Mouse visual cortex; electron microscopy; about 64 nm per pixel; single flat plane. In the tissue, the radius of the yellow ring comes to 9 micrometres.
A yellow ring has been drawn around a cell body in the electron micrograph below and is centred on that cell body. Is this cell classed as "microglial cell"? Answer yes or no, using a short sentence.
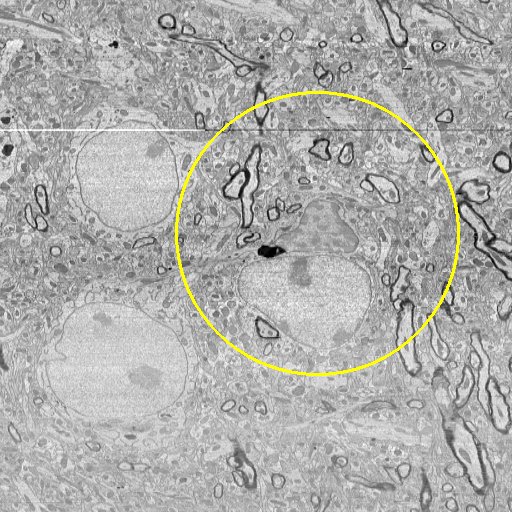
Yes, it is classed as that kind.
